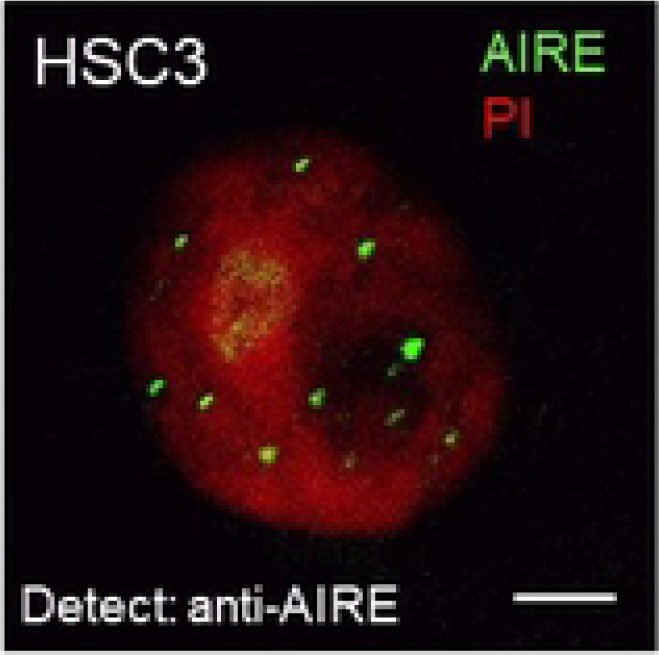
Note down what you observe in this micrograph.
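The red stain is not even: there are brighter and darker patches inside the rounded outline. Scattered through the nucleus lie a number of small, discrete, bright green dots of varying size. A more diffuse yellowish area sits in the upper part of the nucleus where green and red overlap. No green dots are seen outside the red-stained nucleus.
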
